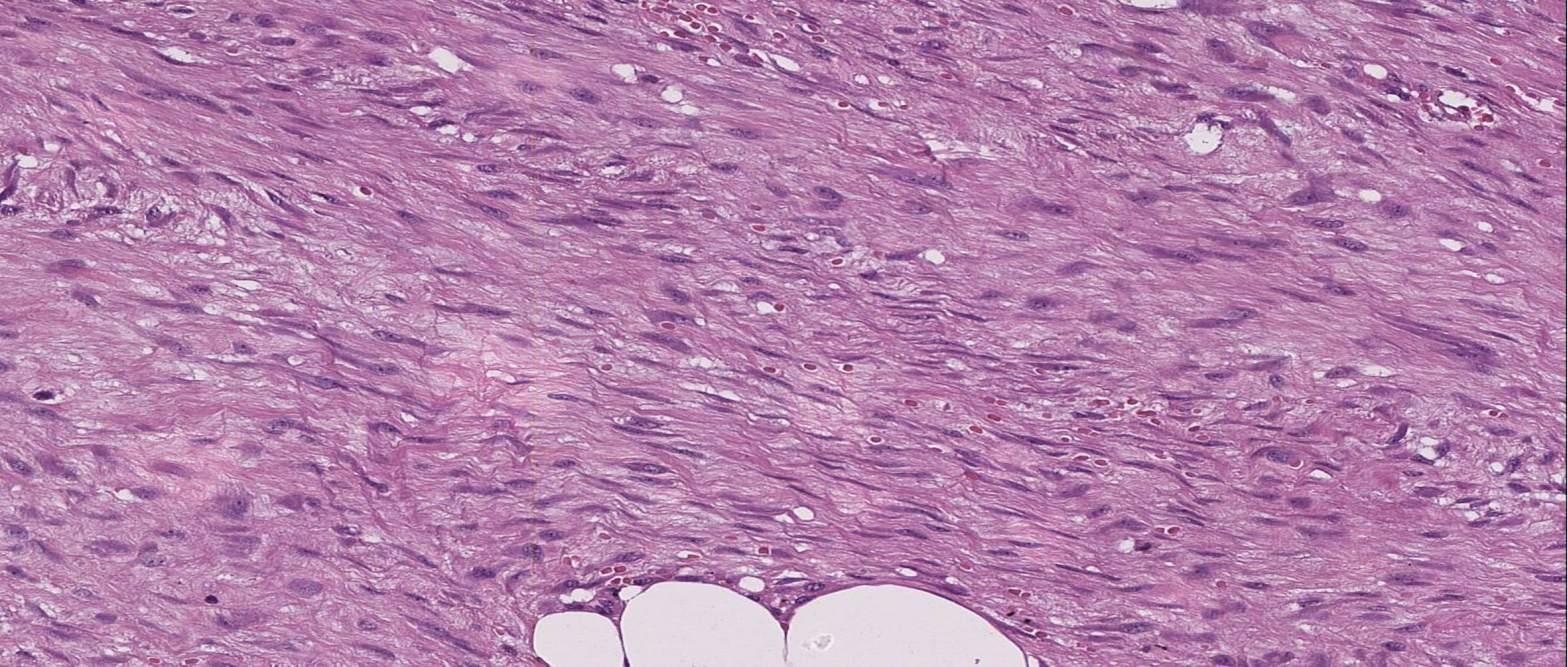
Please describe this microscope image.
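This is a spindle cell lesion made of fibroblast-like cells arranged in long, gently wavy fascicles that sweep across the field. The cells have elongated, tapering purple nuclei and pale pink cytoplasm that merges into a fibrillar pink collagenous background. Scattered among them are a few small thin-walled capillaries holding red blood cells, and a few fat cells appear as clear empty spaces at the lower edge.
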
